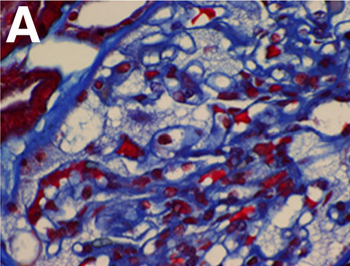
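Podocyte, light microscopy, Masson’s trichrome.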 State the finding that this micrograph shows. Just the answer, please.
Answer: Cytoplasmic vacuolation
